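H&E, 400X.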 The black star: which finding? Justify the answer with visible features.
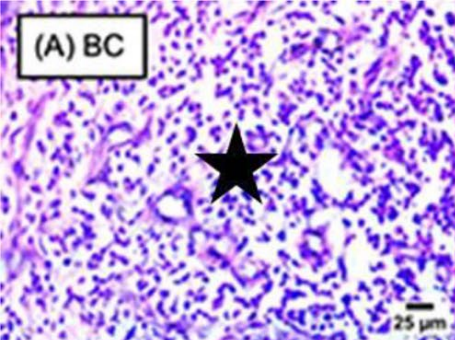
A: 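Many small, round, dark purple nuclei are scattered densely through the tissue. The cells lie between pale pink connective tissue. That points to this answer: mononuclear inflammatory cells infiltration.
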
